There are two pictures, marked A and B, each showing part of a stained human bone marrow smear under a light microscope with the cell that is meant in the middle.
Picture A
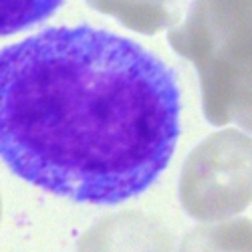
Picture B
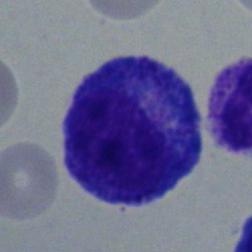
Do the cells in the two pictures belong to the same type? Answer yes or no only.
yes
